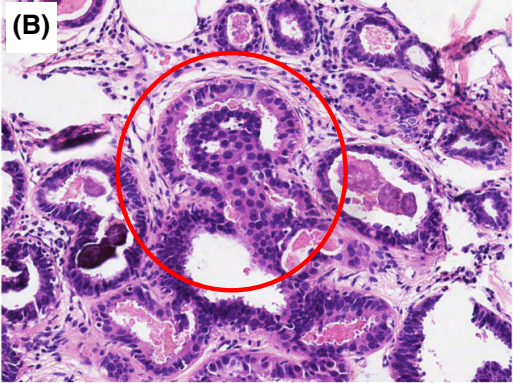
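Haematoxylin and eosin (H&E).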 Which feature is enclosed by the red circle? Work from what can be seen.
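Small luminal aggregates. Within the circle a cluster of cells fills part of a duct lumen.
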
